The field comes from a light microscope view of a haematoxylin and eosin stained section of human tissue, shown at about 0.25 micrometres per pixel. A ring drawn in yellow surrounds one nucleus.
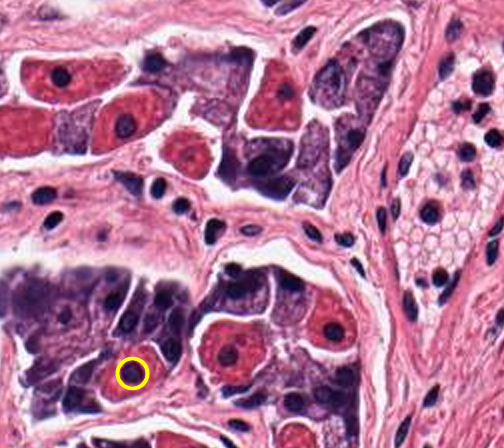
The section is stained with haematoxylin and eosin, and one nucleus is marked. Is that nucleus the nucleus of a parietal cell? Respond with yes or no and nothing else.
yes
